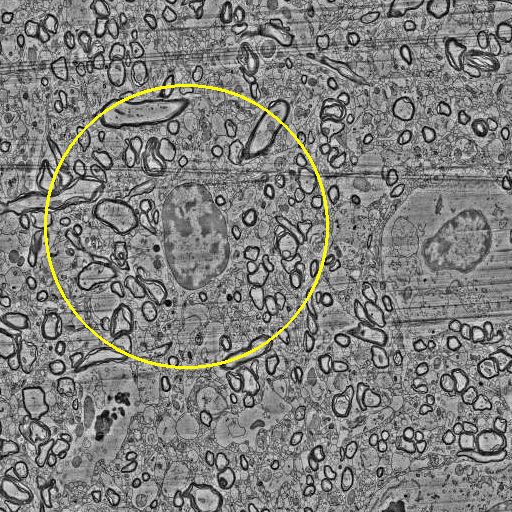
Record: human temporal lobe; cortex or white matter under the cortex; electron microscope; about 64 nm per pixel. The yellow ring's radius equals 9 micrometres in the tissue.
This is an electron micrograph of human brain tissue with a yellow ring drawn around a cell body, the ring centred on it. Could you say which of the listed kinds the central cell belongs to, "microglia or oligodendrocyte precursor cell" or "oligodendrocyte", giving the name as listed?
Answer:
microglia or oligodendrocyte precursor cell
